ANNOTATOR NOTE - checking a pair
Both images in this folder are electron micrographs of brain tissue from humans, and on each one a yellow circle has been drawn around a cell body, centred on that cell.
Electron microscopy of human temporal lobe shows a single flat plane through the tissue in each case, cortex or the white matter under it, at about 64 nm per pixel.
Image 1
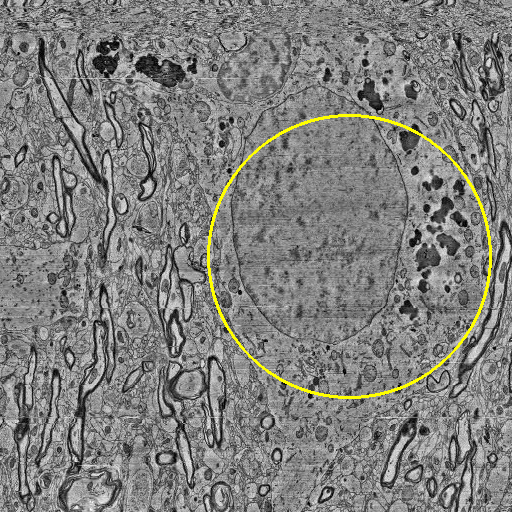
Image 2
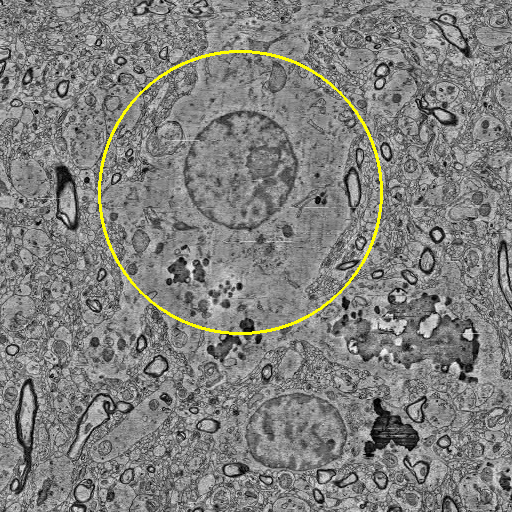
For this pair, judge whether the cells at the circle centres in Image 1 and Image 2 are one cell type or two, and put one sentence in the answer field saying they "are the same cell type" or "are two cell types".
For this pair, the cells at the circle centres in Images 1 and 2 are two cell types.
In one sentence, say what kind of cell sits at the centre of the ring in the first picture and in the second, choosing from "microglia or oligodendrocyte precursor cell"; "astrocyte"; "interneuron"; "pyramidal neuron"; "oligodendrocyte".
The first picture's ringed cell is a pyramidal neuron, while the second picture's is an astrocyte.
